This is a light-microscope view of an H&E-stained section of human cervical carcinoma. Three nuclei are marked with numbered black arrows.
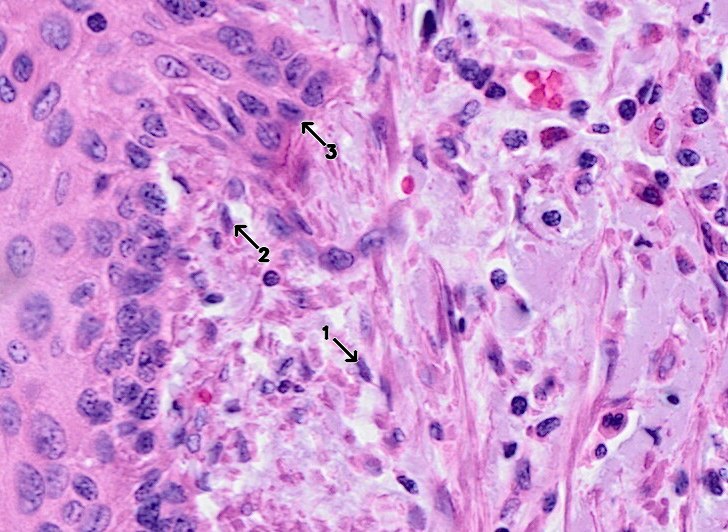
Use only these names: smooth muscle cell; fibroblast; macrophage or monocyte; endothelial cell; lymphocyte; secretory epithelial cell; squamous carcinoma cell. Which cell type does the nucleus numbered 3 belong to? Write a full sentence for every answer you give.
The marked cell bearing number 3 is a squamous carcinoma cell.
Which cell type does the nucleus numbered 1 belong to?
The cell that is numbered 1 is a fibroblast.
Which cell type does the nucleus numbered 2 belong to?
Within this field of view, the cell labelled 2 is a fibroblast.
